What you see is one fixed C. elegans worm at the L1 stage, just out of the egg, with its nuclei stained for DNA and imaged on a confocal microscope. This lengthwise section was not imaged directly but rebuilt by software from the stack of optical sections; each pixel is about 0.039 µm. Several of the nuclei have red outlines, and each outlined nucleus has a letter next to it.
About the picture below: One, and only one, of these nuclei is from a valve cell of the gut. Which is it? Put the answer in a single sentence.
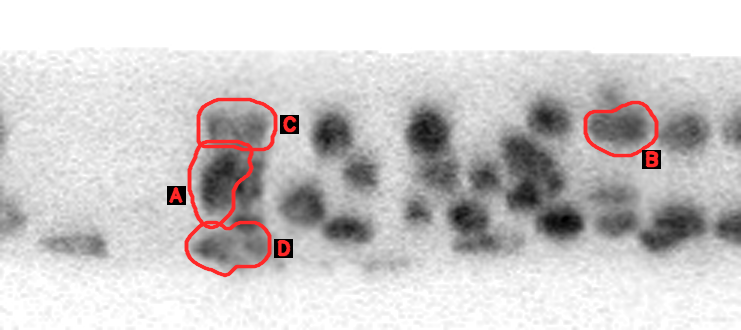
The one from a valve cell of the gut is A.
